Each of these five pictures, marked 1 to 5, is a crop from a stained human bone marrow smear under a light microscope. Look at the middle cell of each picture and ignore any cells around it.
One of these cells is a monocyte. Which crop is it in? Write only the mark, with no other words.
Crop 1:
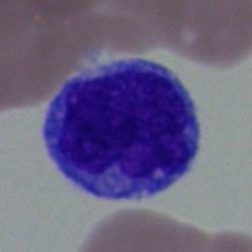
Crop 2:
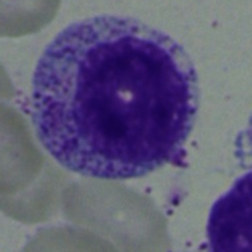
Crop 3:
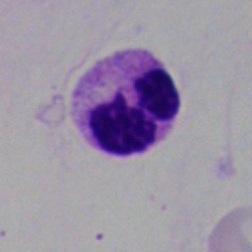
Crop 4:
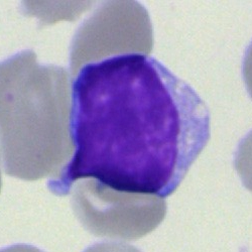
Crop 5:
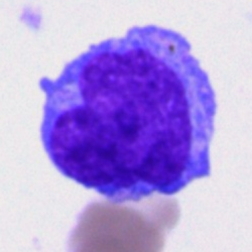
1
